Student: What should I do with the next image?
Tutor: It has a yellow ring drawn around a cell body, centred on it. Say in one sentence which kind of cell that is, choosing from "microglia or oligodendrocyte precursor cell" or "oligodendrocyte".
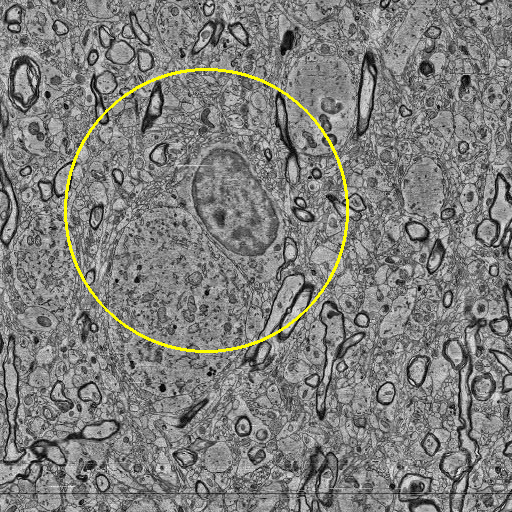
The ring's centre is occupied by an oligodendrocyte.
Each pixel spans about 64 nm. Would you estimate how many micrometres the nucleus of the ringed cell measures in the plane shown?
In this plane the nucleus is clearly longer than it is wide, at approximately 7 by 5 micrometres.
